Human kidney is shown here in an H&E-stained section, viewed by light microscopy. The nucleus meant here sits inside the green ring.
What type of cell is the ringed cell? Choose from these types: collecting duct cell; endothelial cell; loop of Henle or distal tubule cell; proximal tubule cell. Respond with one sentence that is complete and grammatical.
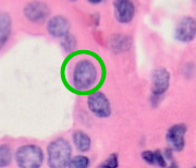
Speaking plainly, the ringed cell is nothing other than a collecting duct cell.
